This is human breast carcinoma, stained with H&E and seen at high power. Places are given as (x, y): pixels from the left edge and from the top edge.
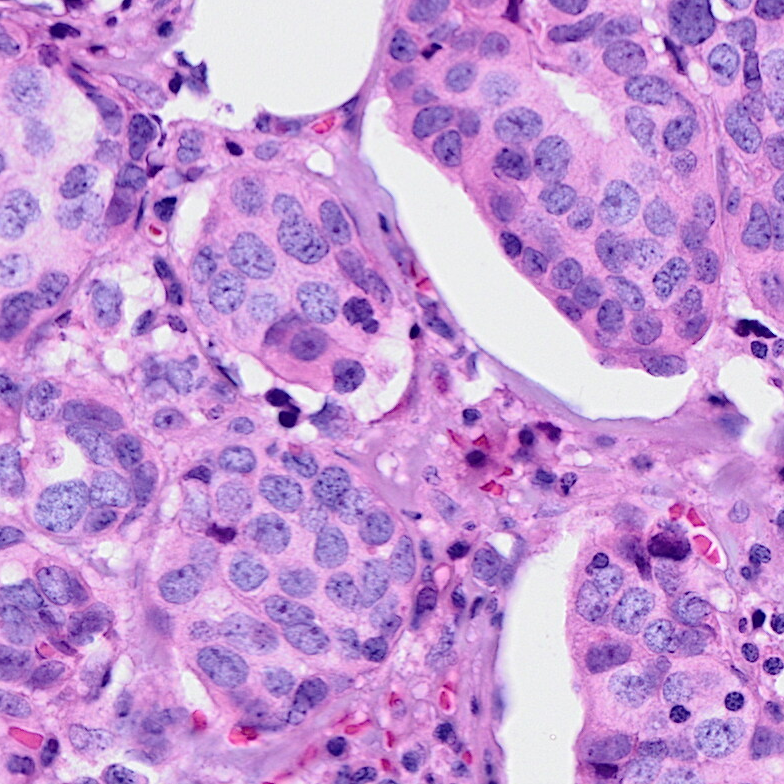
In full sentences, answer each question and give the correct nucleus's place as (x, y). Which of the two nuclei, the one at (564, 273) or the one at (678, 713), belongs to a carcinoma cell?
The member of the pair belonging to a carcinoma cell is the nucleus at (564, 273).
